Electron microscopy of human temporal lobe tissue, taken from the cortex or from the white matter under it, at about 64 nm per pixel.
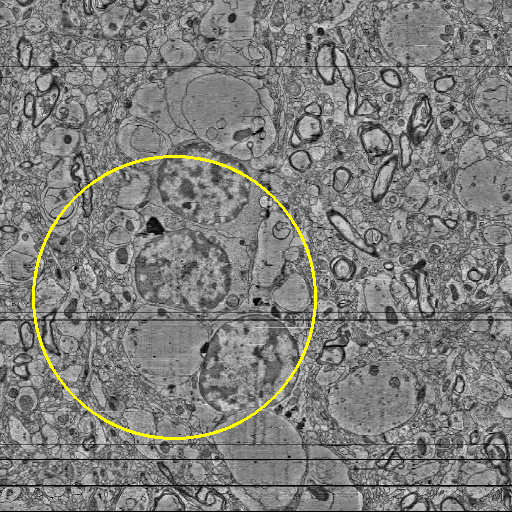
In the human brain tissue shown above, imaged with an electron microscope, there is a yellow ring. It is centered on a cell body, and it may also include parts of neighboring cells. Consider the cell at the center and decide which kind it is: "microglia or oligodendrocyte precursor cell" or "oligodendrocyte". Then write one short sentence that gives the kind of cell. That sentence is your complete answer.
This centered cell body is that of an oligodendrocyte.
